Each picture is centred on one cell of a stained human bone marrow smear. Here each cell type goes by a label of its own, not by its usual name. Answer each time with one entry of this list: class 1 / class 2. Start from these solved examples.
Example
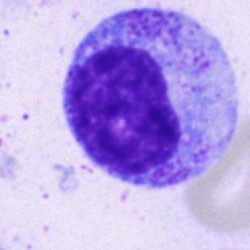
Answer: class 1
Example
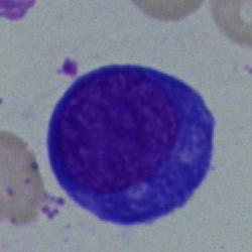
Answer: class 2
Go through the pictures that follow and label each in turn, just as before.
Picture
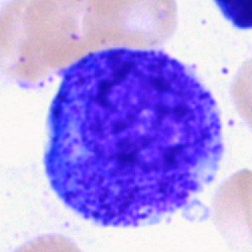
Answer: class 1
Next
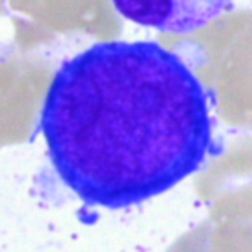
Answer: class 2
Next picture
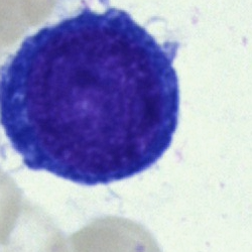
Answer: class 2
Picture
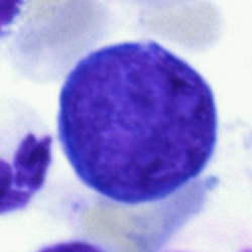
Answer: class 2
